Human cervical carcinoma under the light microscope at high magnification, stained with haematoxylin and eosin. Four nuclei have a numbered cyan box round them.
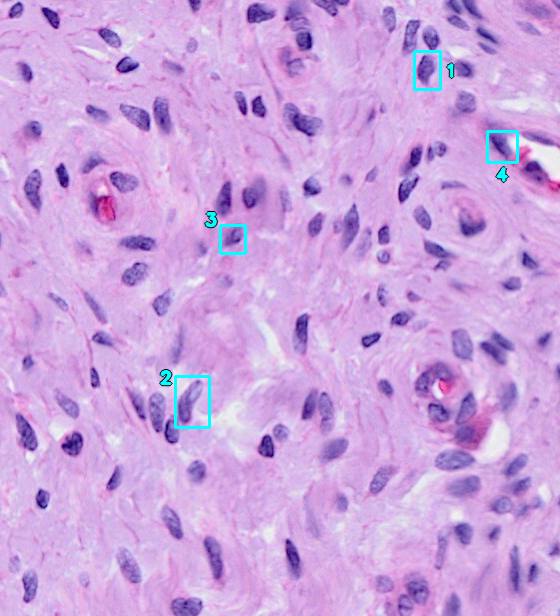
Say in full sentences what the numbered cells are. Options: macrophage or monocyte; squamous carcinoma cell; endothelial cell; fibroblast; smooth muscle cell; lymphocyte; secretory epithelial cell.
Cells 1, 2 and 3 are fibroblasts. Cell 4 is an endothelial cell.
